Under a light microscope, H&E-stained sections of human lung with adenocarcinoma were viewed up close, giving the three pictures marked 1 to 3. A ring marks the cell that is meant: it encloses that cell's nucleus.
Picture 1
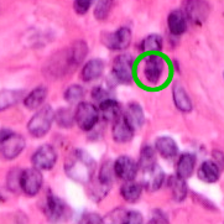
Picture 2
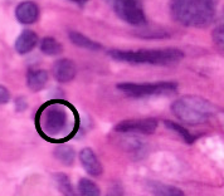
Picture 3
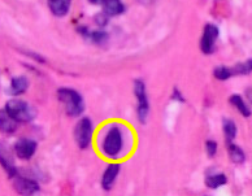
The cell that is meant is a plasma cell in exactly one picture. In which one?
2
